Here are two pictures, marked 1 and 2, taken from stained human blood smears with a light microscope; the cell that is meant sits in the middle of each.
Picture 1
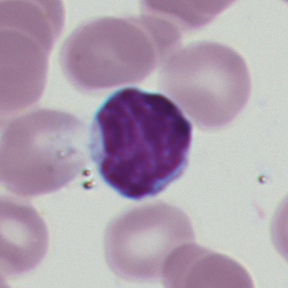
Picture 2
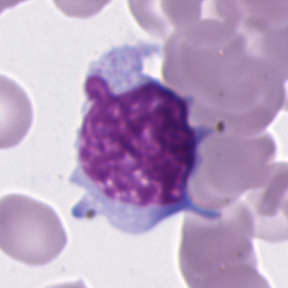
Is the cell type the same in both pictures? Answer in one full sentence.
Yes, both cells are typical lymphocytes.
